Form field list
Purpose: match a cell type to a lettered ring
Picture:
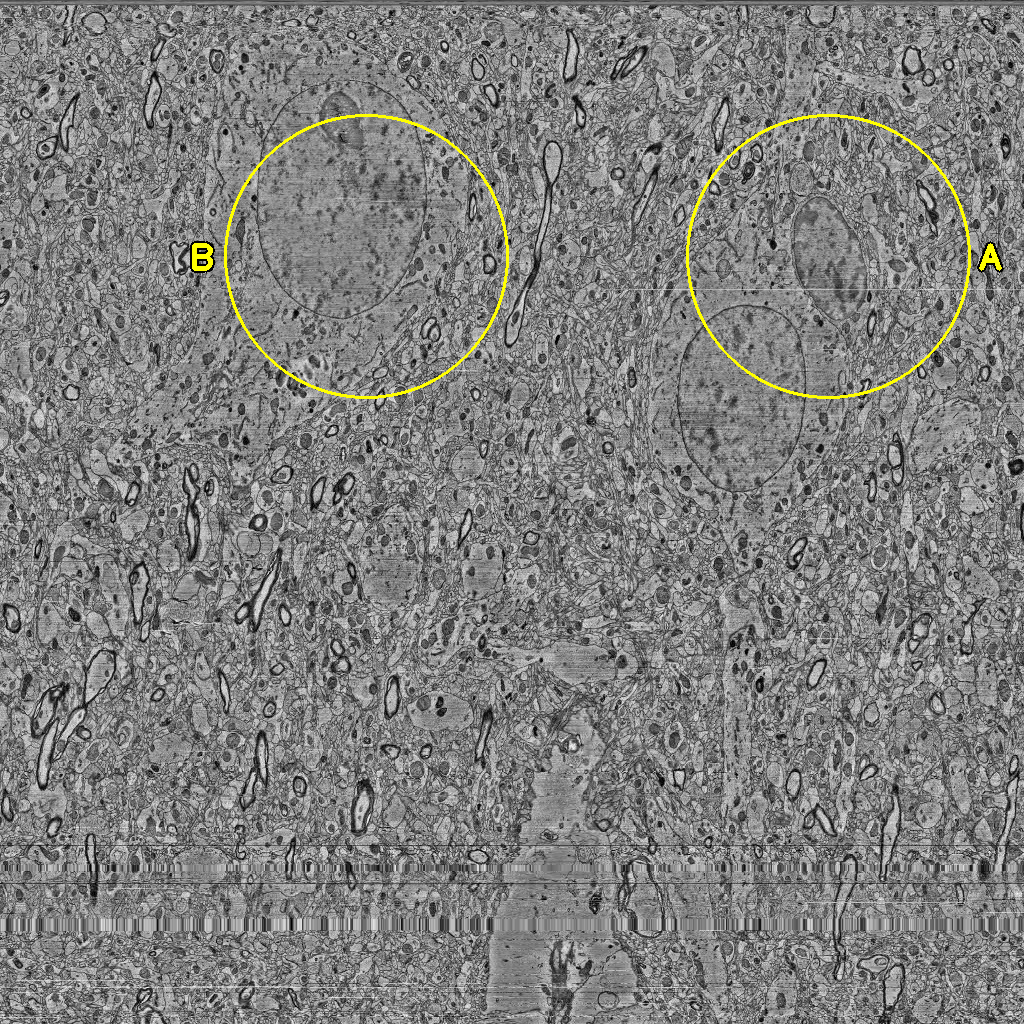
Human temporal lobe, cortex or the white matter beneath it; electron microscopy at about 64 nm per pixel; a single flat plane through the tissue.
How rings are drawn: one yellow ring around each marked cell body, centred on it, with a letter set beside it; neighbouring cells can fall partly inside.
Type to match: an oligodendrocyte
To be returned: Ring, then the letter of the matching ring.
Ring A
